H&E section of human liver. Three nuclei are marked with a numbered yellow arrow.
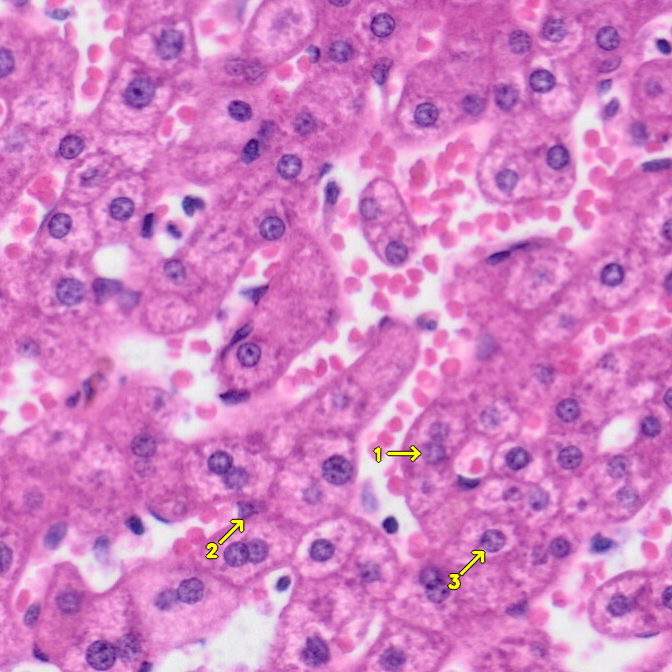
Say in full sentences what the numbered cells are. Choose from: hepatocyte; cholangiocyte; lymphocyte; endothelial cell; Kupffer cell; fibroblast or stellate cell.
Cell 1 is a hepatocyte, cell 2 is an endothelial cell and cell 3 is a hepatocyte.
